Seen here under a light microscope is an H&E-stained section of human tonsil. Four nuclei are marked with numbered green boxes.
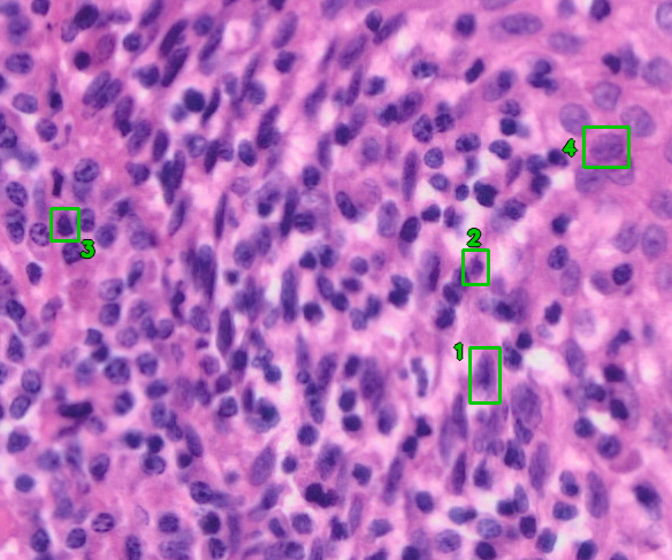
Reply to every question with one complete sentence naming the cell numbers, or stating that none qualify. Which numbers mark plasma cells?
Cell 3 is a plasma cell, and that holds for no other numbered cell.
